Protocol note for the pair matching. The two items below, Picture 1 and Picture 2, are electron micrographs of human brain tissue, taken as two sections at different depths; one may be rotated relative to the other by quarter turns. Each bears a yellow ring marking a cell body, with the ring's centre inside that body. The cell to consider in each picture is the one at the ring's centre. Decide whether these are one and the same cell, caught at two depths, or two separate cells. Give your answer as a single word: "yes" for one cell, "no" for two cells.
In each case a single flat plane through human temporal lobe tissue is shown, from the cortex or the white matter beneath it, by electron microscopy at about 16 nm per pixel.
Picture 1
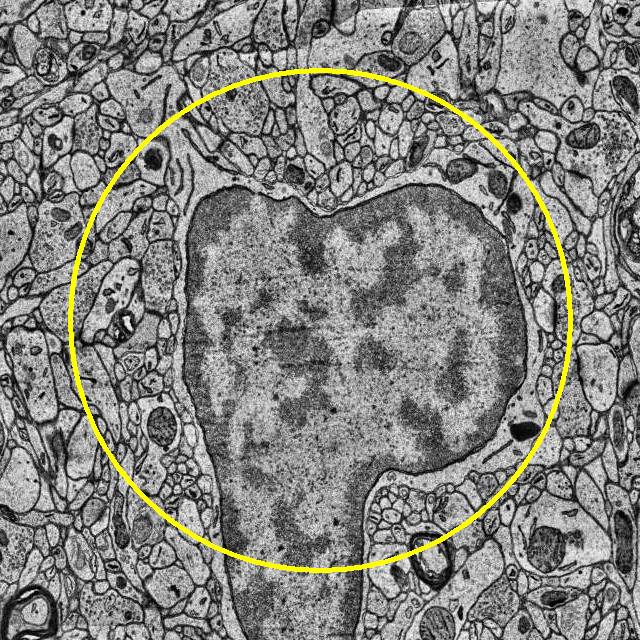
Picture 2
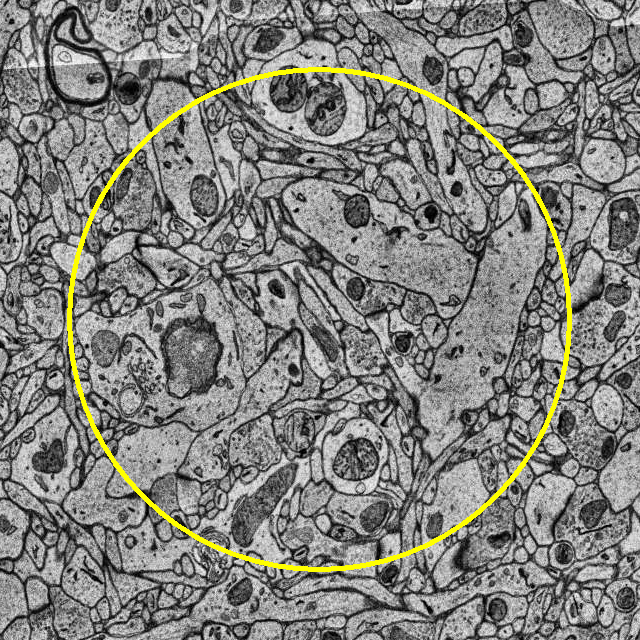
yes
